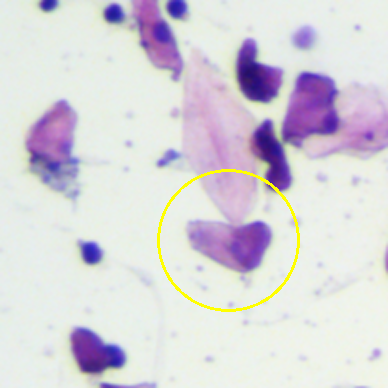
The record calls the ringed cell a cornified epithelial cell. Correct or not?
Correct; it is a cornified epithelial cell.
